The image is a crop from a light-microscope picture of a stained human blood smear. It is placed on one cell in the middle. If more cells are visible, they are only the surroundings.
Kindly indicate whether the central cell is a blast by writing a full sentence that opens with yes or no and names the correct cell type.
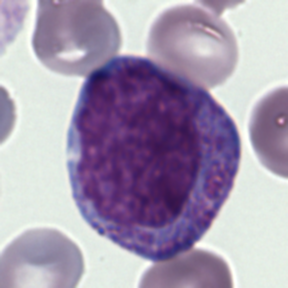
No, the cell at the centre is categorised not as a blast but as a promyelocyte.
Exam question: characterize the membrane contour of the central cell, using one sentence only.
The edge of the cell is unbroken and smooth, bearing no projections.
